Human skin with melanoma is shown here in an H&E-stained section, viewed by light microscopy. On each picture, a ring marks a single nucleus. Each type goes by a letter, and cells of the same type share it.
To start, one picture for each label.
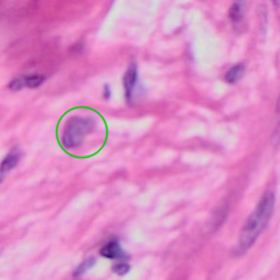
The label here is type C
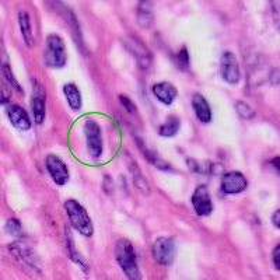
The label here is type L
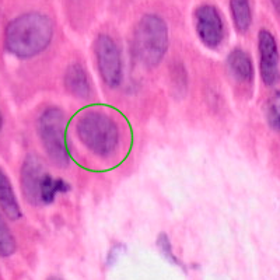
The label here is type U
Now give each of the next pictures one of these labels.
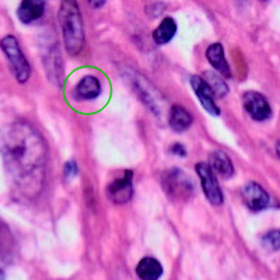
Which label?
type L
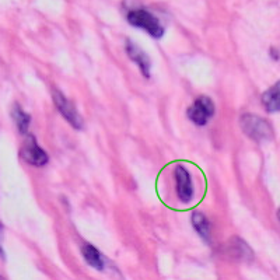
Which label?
type L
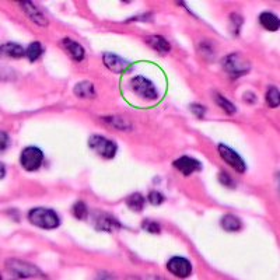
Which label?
type L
